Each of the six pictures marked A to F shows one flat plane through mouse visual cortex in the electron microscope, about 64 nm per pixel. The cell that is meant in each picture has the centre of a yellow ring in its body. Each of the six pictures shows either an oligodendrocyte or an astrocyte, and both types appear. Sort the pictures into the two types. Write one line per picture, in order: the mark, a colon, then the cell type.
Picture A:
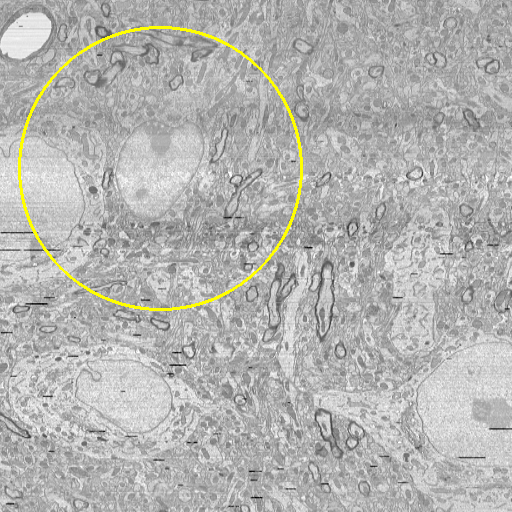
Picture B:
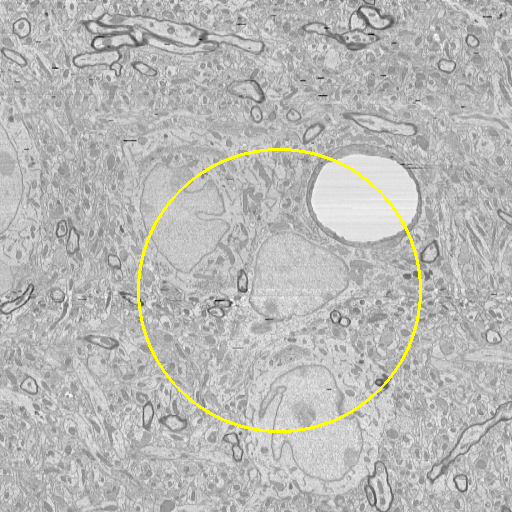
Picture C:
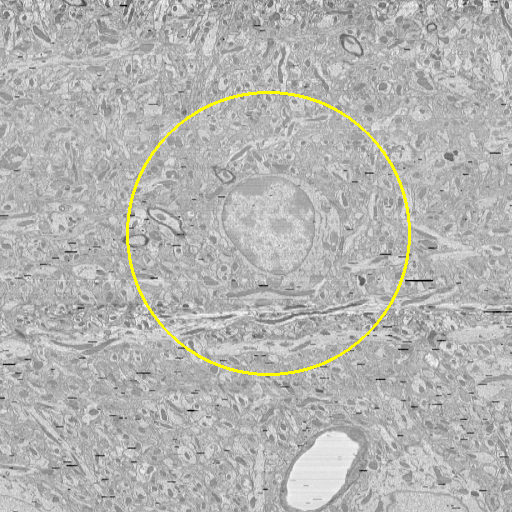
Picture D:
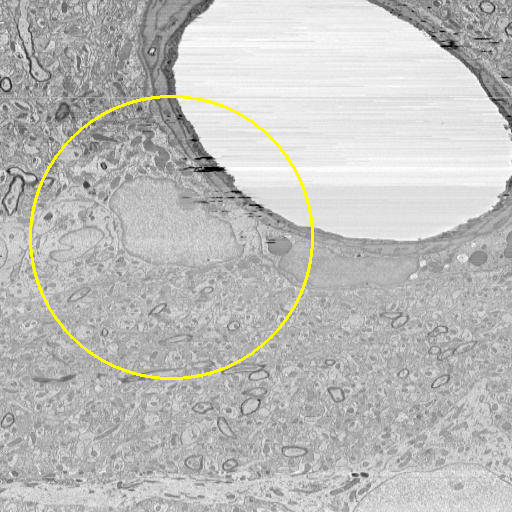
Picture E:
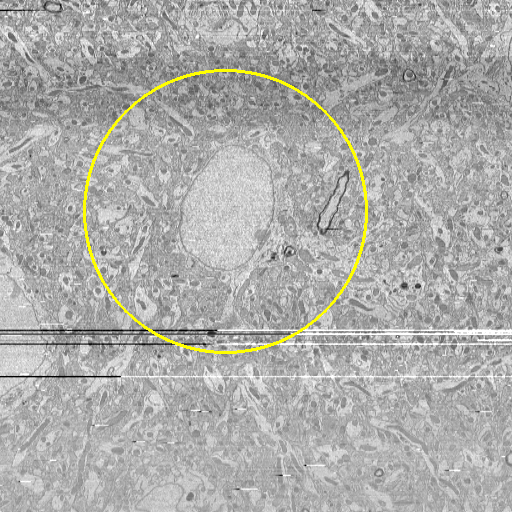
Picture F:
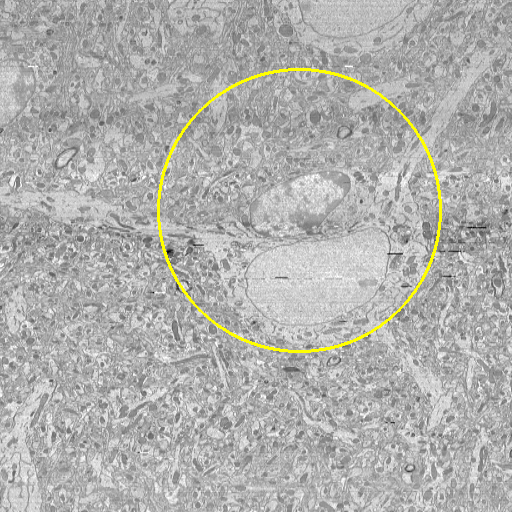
A: astrocyte
B: astrocyte
C: oligodendrocyte
D: astrocyte
E: astrocyte
F: oligodendrocyte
